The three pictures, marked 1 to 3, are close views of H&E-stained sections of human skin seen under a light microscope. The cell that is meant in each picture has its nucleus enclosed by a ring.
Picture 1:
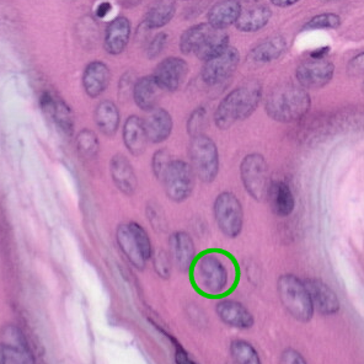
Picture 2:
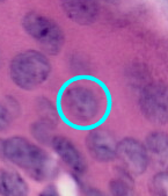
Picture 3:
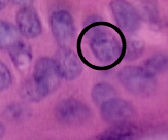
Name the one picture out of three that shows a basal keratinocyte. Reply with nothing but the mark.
3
